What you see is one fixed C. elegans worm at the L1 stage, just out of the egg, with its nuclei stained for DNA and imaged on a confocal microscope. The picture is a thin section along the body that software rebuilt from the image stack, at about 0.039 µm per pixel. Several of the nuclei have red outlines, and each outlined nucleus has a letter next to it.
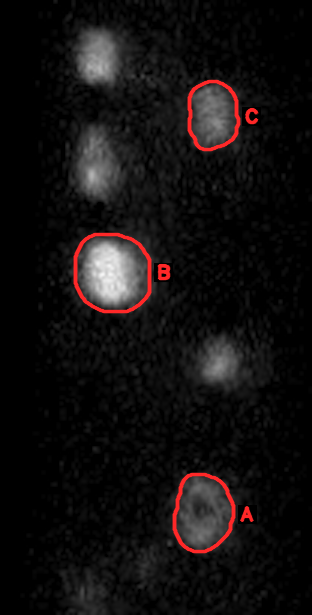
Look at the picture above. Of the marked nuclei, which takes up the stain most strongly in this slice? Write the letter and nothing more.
B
